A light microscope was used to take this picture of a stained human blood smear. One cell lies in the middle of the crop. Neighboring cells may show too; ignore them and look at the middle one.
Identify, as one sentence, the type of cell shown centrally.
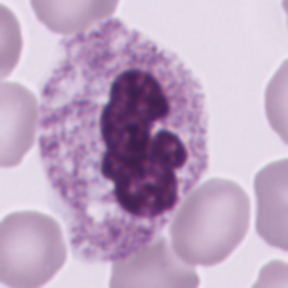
The cell at the centre of the field is a neutrophil.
